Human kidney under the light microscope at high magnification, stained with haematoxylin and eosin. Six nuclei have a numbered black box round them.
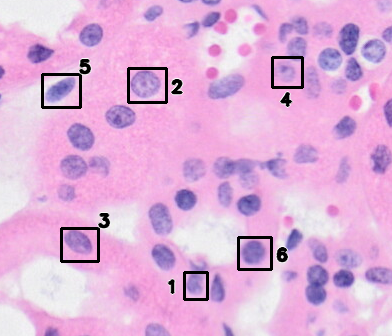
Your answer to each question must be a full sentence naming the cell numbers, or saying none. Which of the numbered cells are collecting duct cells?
The cells carrying labels 1, 4 and 6 are collecting duct cells.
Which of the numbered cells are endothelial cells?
Unlike the other numbered cells, cell 5 is an endothelial cell.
